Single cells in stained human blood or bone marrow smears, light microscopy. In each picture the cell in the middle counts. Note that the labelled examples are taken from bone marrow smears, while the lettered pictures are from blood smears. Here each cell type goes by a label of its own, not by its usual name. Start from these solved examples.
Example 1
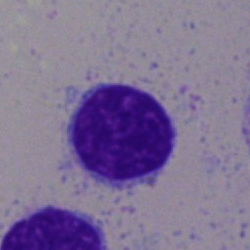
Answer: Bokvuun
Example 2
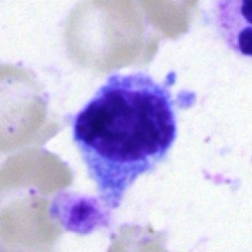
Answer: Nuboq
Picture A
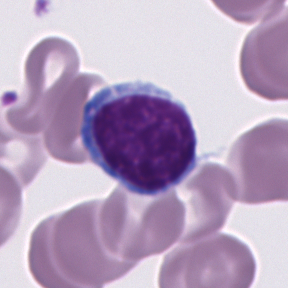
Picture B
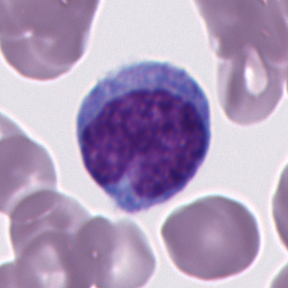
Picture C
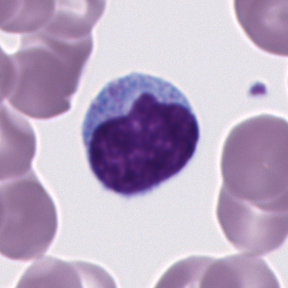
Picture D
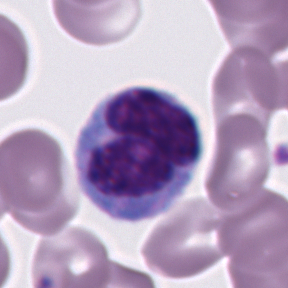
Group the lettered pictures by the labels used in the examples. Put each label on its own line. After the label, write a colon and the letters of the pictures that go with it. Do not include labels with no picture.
Bokvuun: A, C
Nuboq: B, D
